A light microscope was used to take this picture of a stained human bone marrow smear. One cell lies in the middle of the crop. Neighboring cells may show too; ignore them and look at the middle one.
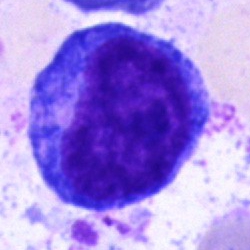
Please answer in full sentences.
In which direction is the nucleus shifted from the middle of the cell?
The nucleus is pushed toward the lower right of the cell.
